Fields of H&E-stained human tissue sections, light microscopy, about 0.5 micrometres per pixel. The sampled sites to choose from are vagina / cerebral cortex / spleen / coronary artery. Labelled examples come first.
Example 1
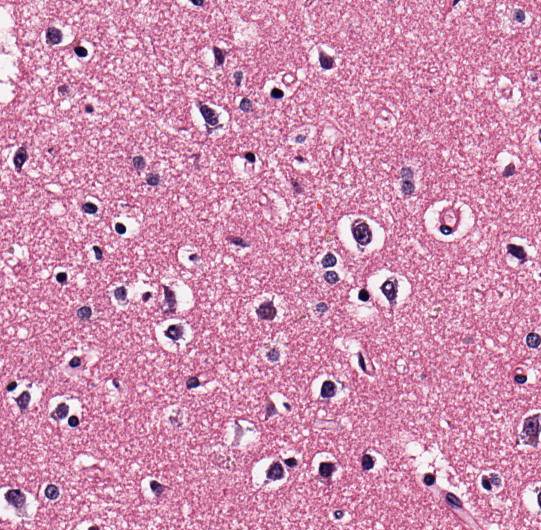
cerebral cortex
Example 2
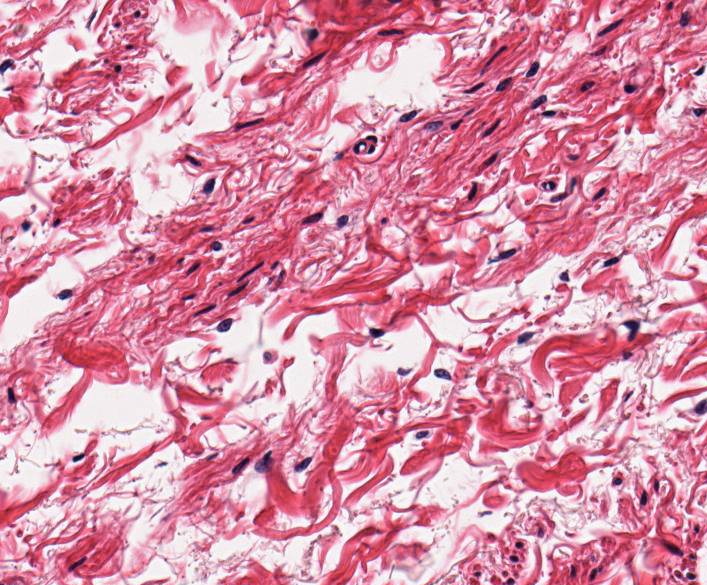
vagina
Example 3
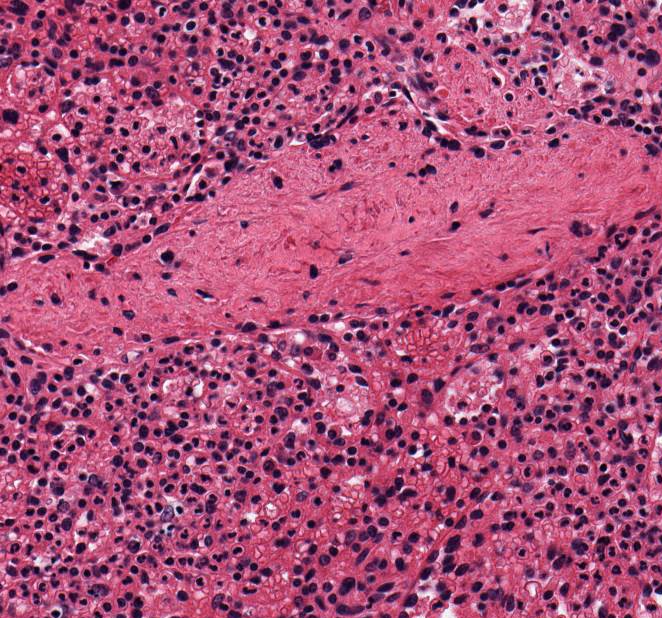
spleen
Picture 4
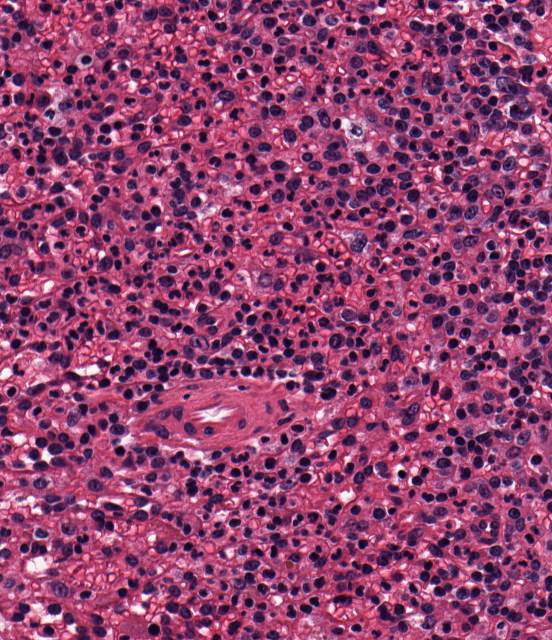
spleen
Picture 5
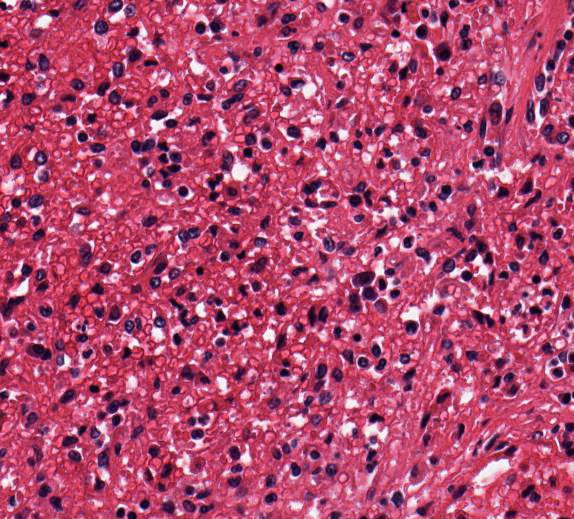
spleen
